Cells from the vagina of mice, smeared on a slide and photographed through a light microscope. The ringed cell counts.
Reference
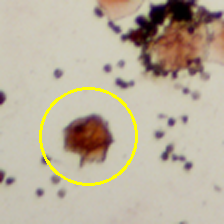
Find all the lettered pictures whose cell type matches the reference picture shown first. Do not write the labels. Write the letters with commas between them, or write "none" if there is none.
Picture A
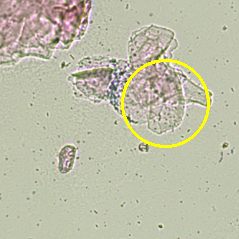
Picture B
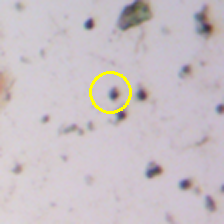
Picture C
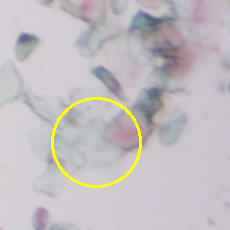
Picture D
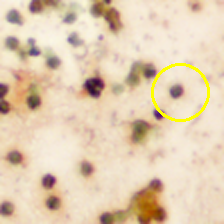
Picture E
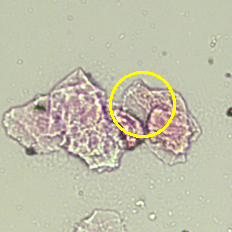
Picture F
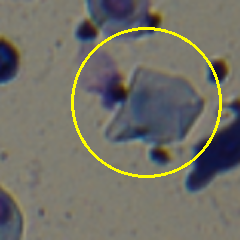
A, C, E, F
